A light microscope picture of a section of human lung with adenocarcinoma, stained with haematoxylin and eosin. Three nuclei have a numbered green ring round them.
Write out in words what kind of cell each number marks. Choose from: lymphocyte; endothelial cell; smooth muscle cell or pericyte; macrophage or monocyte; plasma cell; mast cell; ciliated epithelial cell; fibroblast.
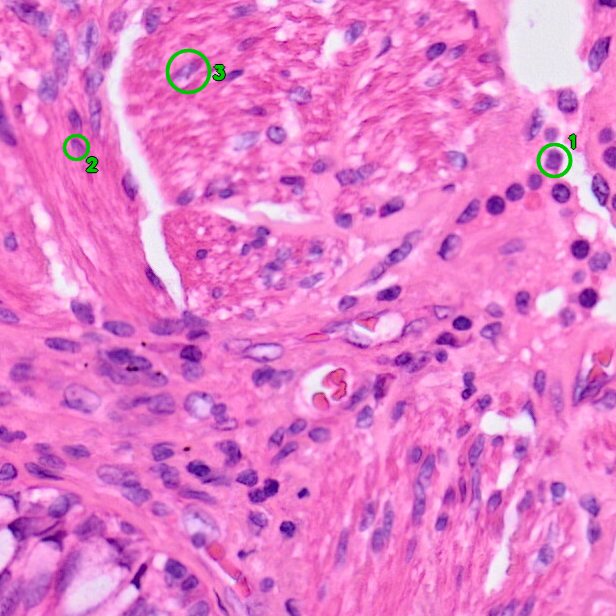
Cell 1 is a lymphocyte. Cells 2 and 3 are smooth muscle cells or pericytes.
